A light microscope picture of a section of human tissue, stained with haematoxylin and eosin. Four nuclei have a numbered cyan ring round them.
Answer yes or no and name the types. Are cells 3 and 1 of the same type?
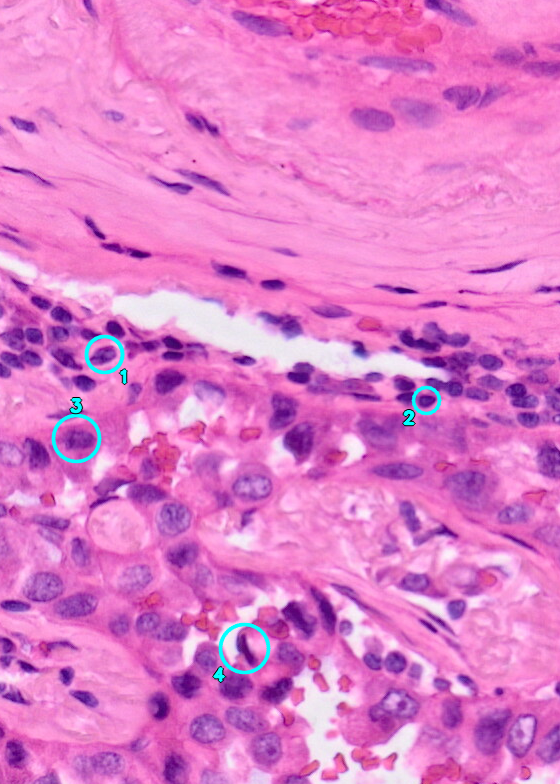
No, cell 3 counts as a carcinoma cell, and cell 1 counts as a lymphocyte.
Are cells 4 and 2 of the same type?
No, cell 4 is a carcinoma cell and cell 2 is a lymphocyte.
